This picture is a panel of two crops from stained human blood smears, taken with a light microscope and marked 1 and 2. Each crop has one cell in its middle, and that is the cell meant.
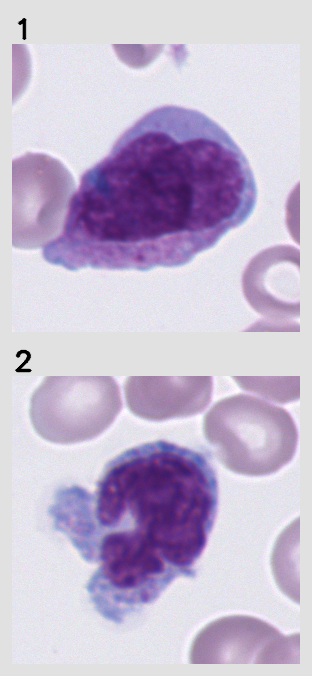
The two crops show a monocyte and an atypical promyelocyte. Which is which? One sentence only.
Crop 1 is an atypical promyelocyte, while a monocyte is the cell in crop 2.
